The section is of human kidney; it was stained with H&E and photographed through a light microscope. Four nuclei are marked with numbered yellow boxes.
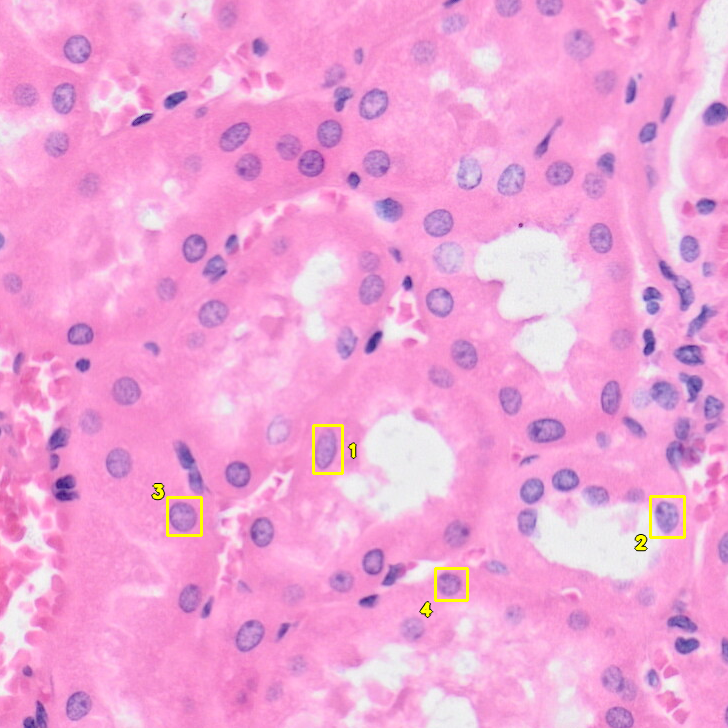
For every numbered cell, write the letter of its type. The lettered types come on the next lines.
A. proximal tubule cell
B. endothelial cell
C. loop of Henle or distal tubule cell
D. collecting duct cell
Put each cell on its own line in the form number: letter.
1: A
2: C
3: A
4: A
